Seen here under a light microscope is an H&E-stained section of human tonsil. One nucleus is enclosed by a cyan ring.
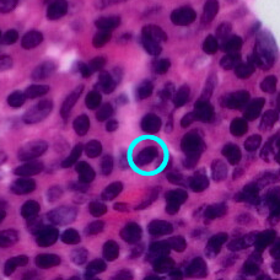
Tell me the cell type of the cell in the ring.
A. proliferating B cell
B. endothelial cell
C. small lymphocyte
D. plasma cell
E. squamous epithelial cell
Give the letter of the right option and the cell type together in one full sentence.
Option D is the one that fits, as the cell in the ring is a plasma cell.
